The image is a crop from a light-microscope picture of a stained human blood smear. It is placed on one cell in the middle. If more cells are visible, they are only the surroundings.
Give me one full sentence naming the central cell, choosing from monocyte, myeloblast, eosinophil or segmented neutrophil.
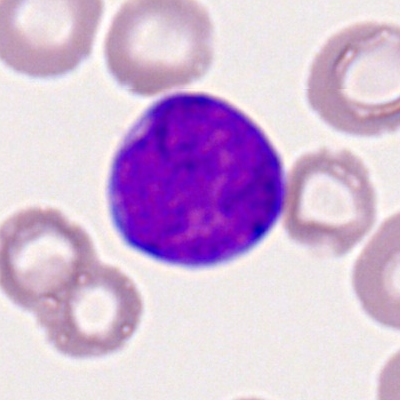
The cell featured at the centre of this crop is a myeloblast.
